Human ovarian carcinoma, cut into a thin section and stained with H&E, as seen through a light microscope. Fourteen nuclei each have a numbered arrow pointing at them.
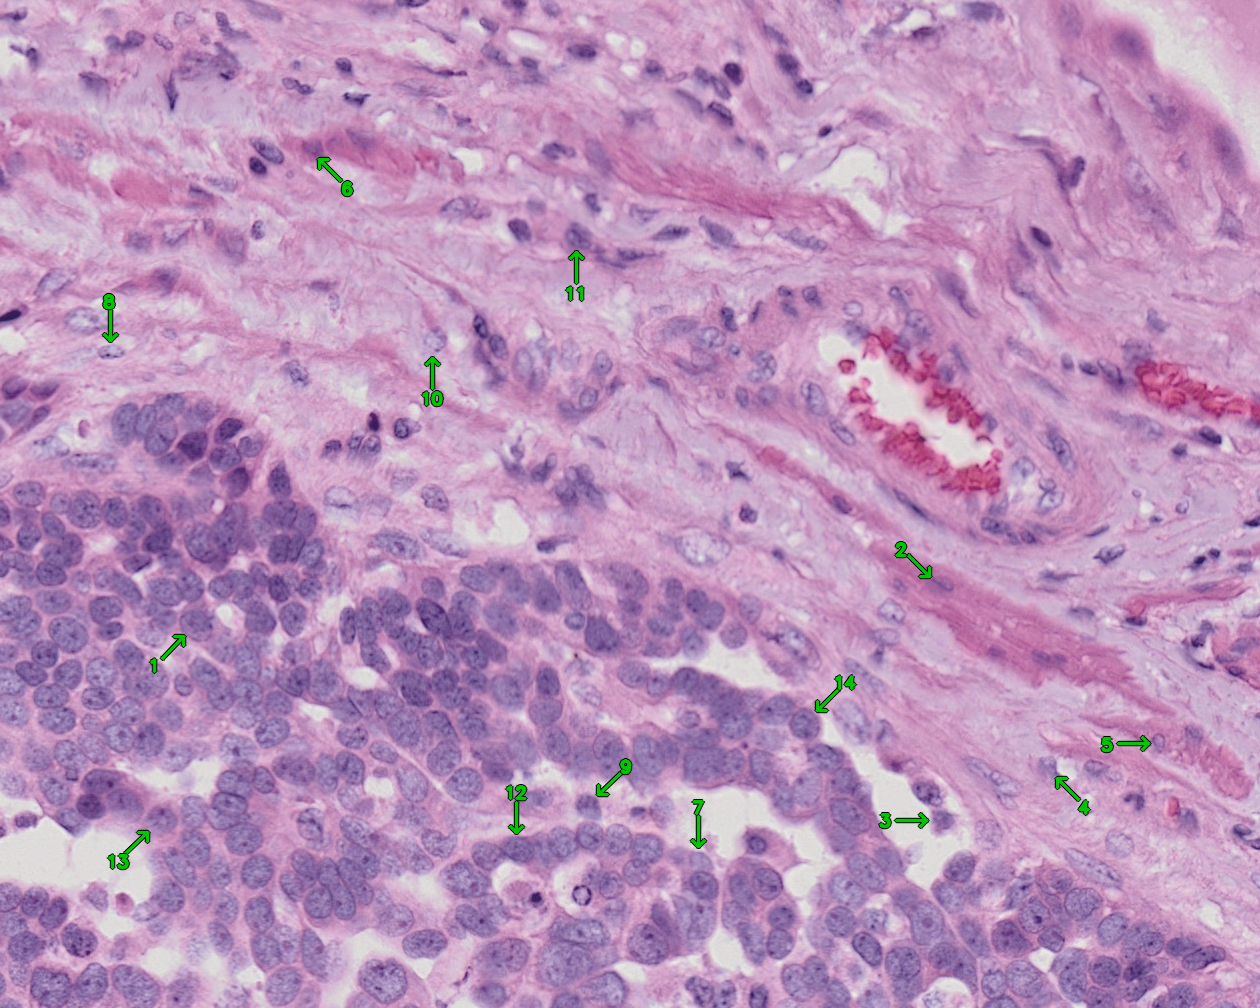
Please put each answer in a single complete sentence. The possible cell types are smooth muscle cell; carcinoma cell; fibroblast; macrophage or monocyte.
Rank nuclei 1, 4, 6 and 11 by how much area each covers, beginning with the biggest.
From largest to smallest, the order is 1, 11, 4, 6.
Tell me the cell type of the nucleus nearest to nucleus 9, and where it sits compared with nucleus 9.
The closest nucleus belongs to a carcinoma cell and sits below nucleus 9.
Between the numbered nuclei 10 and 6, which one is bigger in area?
At about 1.5 times the area of nucleus 6, nucleus 10 is the larger of the two.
